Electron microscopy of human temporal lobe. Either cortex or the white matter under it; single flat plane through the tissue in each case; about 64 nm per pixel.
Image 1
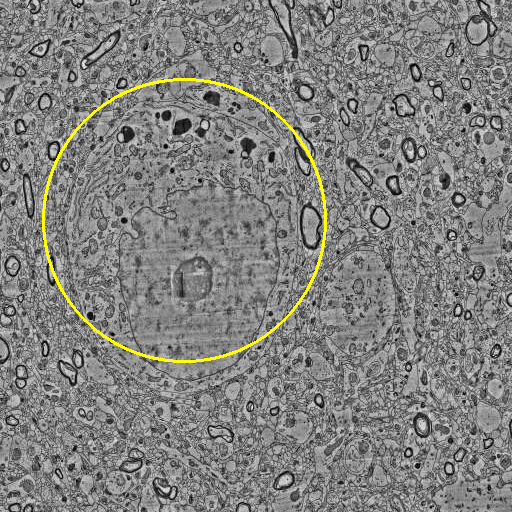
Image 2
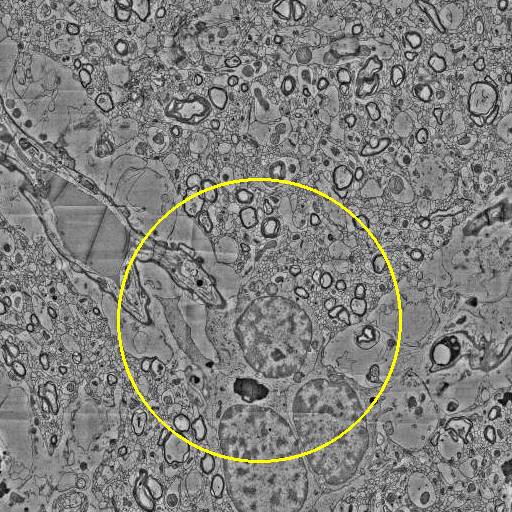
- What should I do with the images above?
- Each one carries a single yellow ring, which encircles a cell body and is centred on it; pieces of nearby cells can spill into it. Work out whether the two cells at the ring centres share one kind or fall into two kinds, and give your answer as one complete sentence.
The ring-centre cells of Image 1 and Image 2 fall into two kinds.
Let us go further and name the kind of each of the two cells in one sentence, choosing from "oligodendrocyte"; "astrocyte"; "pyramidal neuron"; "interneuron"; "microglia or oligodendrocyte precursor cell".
The ring of the first picture is on a pyramidal neuron, the ring of the second on an oligodendrocyte.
